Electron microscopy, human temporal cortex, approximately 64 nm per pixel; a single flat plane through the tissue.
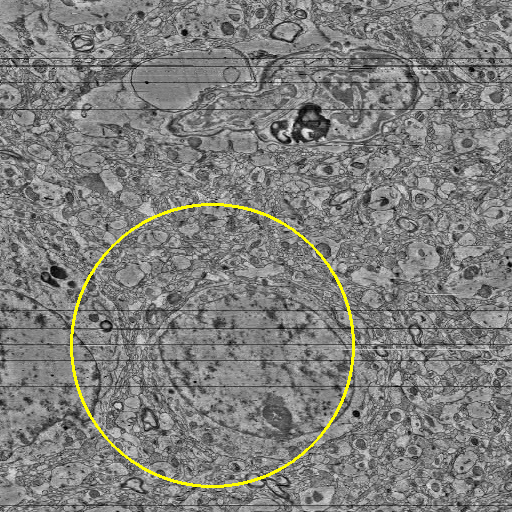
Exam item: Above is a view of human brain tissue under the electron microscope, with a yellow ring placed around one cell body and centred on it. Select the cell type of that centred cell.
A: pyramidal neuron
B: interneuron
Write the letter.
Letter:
A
